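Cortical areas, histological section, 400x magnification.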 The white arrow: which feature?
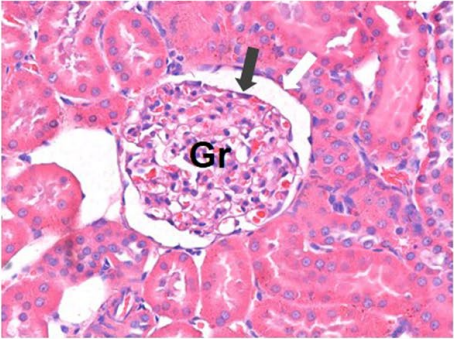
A: Bowman’s capsule.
